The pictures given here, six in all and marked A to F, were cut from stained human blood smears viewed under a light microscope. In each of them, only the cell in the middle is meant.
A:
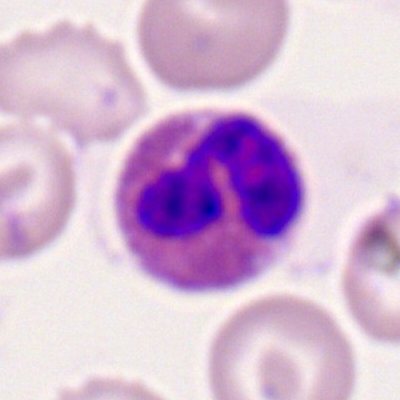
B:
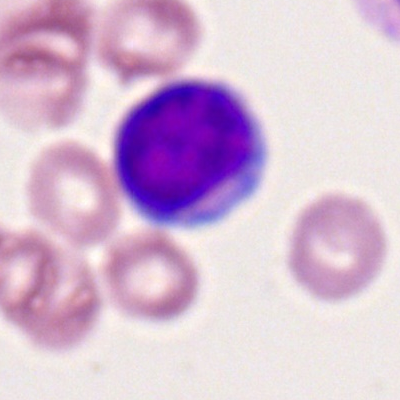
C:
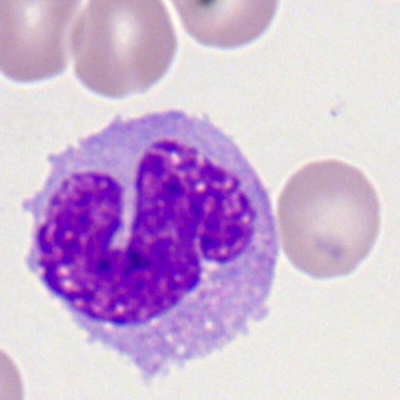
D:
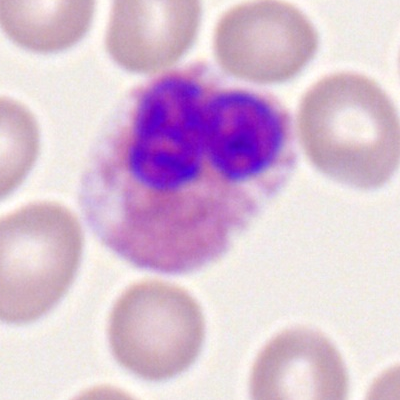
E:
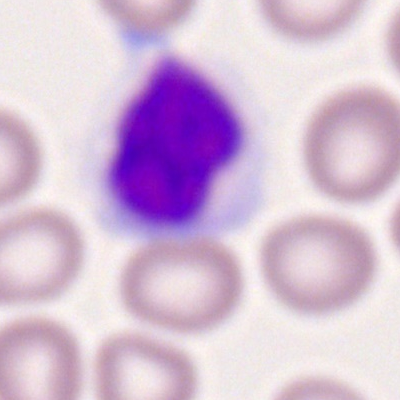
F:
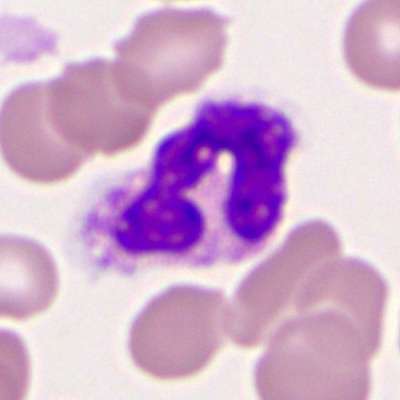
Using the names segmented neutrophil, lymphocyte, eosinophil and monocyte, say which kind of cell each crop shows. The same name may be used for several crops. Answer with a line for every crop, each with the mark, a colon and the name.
A: eosinophil
B: lymphocyte
C: monocyte
D: eosinophil
E: lymphocyte
F: segmented neutrophil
